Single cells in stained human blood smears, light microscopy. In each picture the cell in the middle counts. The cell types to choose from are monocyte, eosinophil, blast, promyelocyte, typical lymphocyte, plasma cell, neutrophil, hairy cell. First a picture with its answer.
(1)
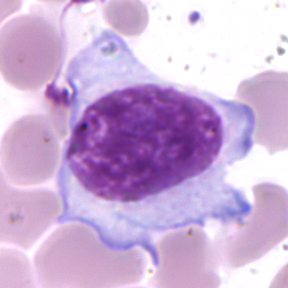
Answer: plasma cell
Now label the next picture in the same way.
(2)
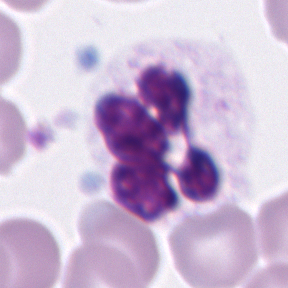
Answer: neutrophil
